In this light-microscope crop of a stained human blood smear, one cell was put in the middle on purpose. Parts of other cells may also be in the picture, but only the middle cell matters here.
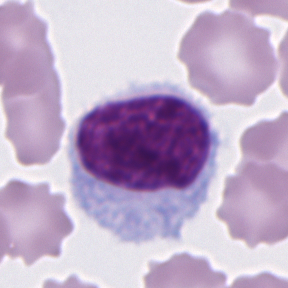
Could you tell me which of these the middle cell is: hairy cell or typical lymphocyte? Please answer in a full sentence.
The cell at the central position in this crop is a hairy cell.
